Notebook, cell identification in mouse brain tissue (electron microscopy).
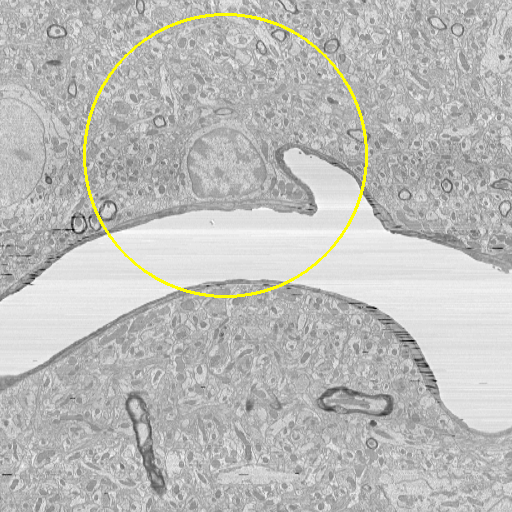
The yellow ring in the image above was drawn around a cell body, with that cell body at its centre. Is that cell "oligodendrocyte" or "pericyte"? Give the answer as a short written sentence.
The cell in the ring is an oligodendrocyte.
